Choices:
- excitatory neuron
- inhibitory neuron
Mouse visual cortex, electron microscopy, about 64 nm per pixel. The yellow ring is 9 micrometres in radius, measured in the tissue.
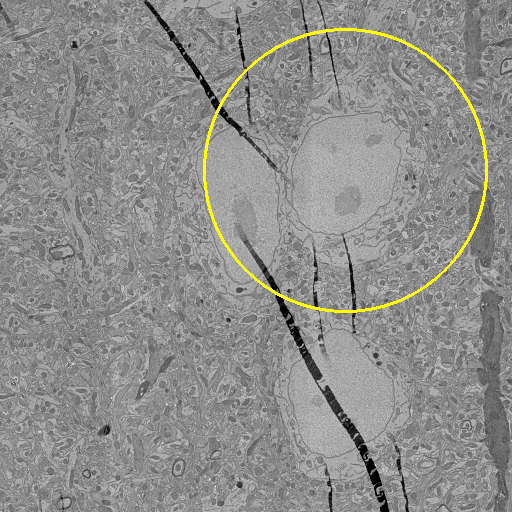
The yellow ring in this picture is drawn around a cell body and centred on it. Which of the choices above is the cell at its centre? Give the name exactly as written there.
excitatory neuron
